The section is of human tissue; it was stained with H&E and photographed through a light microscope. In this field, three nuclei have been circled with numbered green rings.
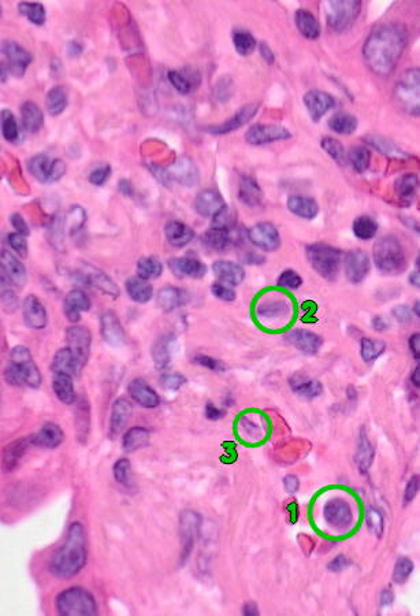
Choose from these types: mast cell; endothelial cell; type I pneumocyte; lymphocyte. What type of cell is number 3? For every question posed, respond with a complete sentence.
The cell pointed out by number 3 is an endothelial cell.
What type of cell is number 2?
The numbered cell 2 is identified here as a lymphocyte.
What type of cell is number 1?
The expected answer is that cell 1 is a lymphocyte.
